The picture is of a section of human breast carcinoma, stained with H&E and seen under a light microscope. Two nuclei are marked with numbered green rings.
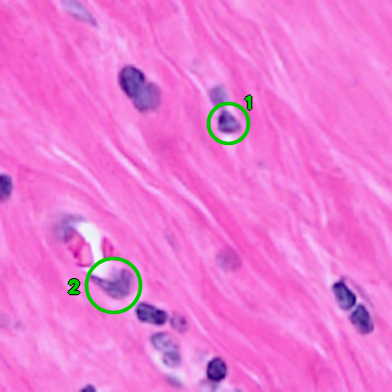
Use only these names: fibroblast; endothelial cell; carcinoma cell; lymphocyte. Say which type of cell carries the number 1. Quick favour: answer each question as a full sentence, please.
Cell 1 in the field of view is a lymphocyte.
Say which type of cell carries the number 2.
As for number 2, that cell is an endothelial cell.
